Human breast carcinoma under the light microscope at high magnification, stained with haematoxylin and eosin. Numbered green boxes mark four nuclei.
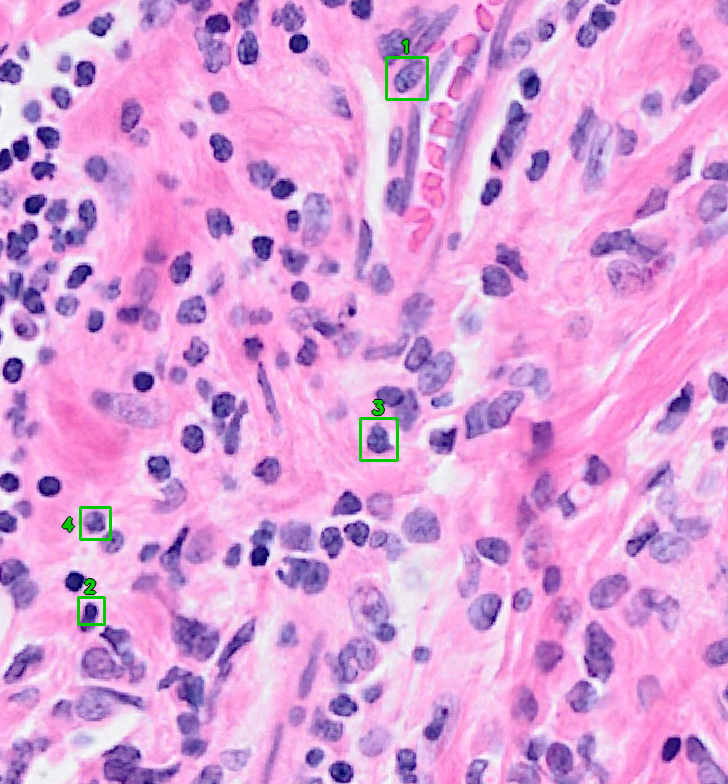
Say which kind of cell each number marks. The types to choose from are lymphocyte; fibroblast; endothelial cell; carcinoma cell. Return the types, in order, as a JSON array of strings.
["endothelial cell", "lymphocyte", "lymphocyte", "lymphocyte"]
